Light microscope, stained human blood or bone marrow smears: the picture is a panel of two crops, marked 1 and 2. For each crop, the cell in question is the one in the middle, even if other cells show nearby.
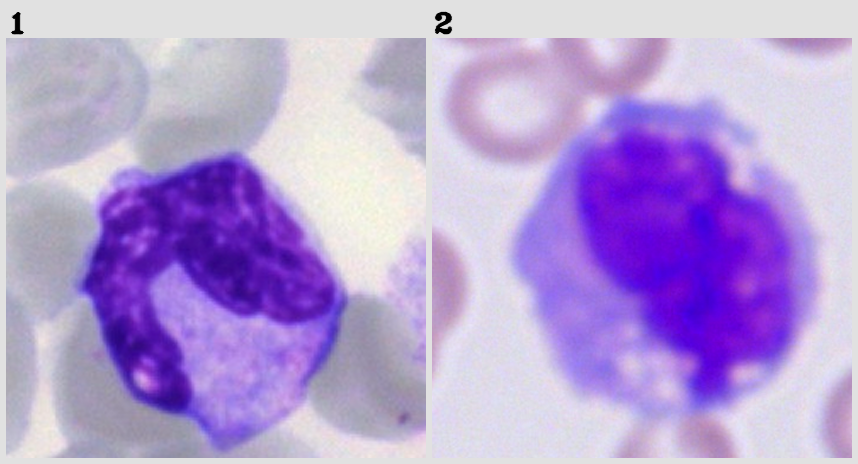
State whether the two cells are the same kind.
yes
